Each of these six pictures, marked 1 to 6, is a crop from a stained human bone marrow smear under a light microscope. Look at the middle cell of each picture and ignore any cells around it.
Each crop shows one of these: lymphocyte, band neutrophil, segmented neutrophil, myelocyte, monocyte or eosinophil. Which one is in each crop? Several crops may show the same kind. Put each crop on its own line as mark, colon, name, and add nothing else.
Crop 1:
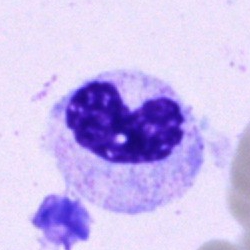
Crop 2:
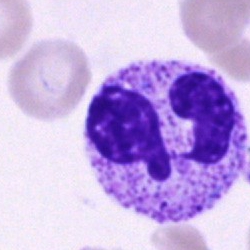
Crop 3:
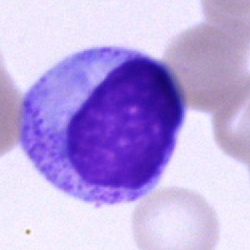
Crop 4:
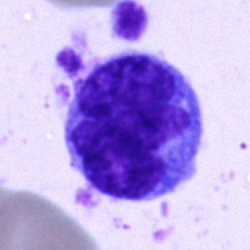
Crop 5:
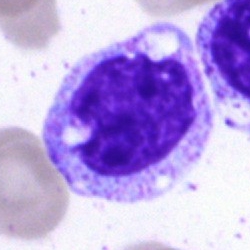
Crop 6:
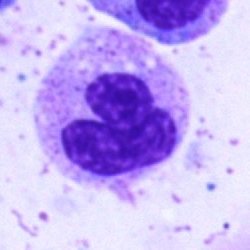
1: band neutrophil
2: segmented neutrophil
3: myelocyte
4: monocyte
5: myelocyte
6: segmented neutrophil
